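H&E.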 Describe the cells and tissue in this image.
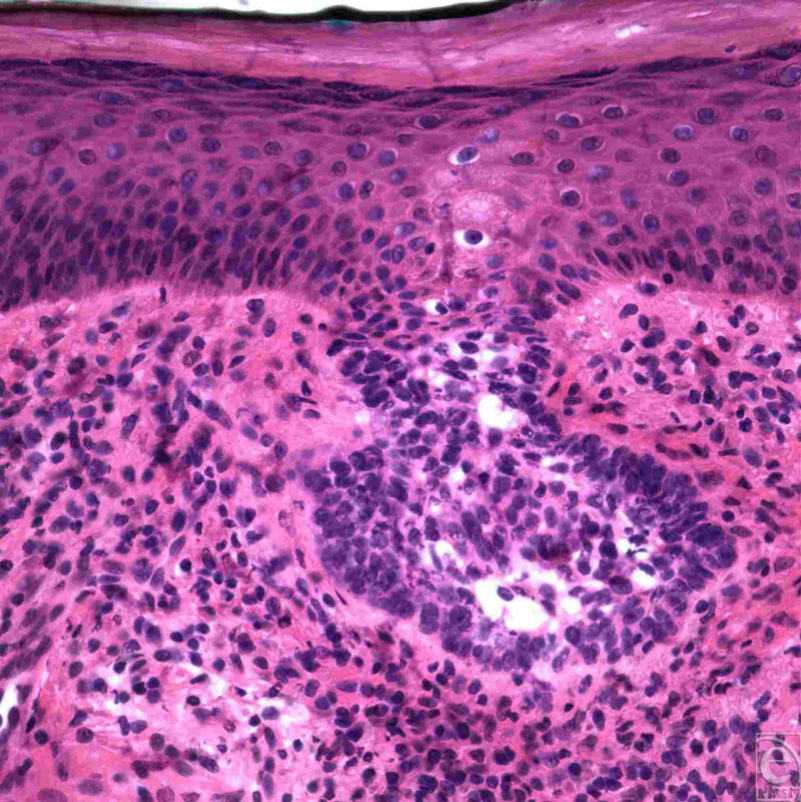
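Skin with a stratified squamous epidermis and a pink stratum corneum along the top. In the centre, a nest of basaloid cells buds downward from the basal layer into the upper dermis and remains attached to the epidermis. On either side, the epidermis has an intact basal layer, and the dermis beneath it is pink and holds many scattered cells.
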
